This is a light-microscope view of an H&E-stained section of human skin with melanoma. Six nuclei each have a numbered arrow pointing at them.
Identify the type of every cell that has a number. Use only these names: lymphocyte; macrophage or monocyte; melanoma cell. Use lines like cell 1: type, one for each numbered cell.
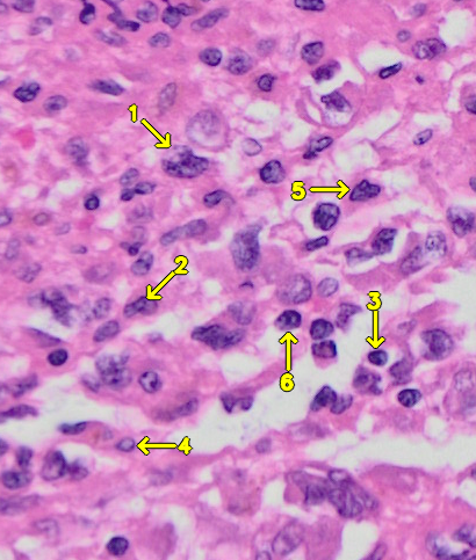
cell 1: melanoma cell
cell 2: macrophage or monocyte
cell 3: lymphocyte
cell 4: macrophage or monocyte
cell 5: macrophage or monocyte
cell 6: lymphocyte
